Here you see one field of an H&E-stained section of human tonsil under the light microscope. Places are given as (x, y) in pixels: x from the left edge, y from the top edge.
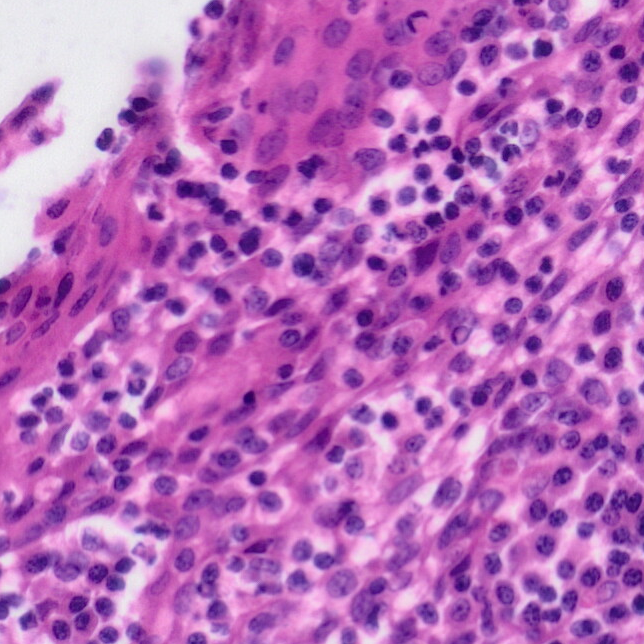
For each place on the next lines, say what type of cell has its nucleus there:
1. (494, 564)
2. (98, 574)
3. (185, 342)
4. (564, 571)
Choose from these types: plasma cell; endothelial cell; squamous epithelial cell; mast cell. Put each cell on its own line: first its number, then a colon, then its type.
1: plasma cell
2: plasma cell
3: squamous epithelial cell
4: plasma cell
